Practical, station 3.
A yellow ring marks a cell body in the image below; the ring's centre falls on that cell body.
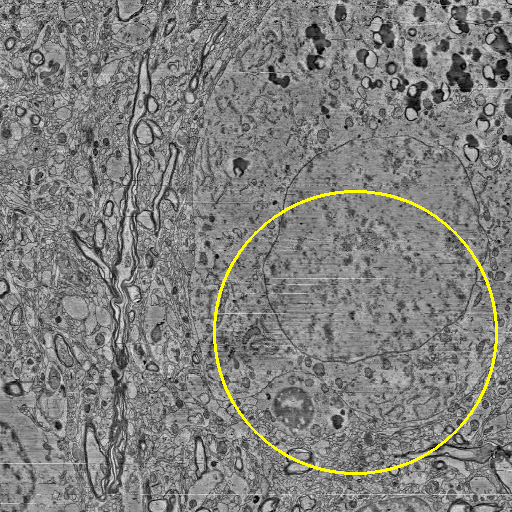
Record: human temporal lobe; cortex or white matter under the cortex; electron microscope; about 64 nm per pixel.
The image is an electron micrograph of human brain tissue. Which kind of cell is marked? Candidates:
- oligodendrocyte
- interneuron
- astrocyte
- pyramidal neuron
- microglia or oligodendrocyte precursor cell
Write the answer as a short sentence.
The marked cell body is that of a pyramidal neuron.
